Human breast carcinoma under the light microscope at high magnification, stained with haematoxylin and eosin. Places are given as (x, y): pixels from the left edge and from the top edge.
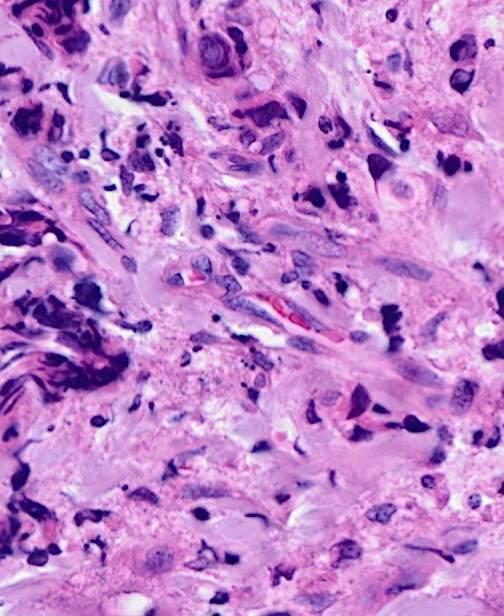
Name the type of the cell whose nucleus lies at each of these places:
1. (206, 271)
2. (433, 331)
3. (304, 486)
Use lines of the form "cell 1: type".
cell 1: endothelial cell
cell 2: fibroblast
cell 3: fibroblast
